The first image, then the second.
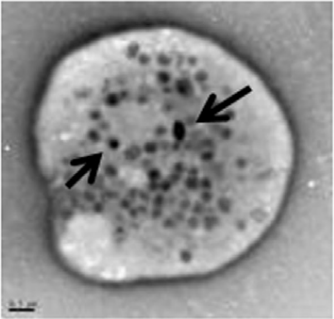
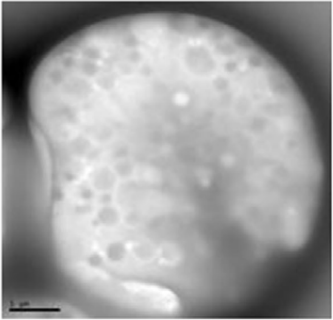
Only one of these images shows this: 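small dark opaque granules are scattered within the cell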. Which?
the first image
